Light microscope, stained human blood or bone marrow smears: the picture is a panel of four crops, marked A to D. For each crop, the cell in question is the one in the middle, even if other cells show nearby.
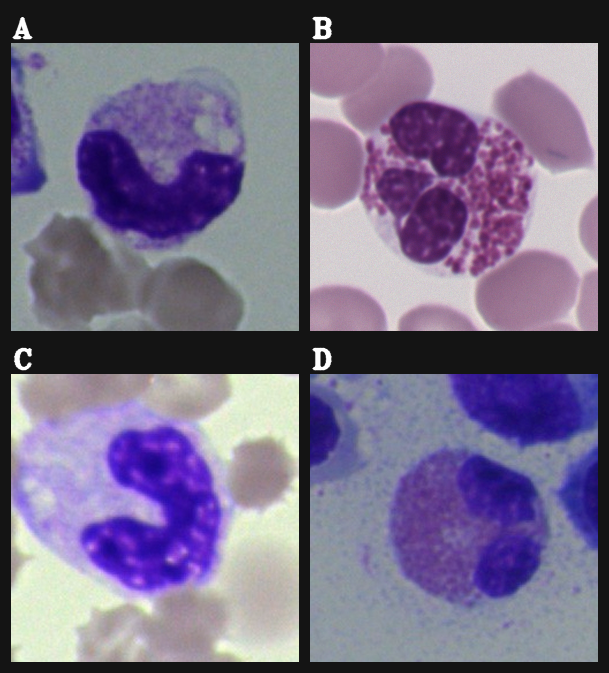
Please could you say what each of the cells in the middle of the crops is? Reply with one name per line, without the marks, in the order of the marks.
band neutrophil
eosinophil
band neutrophil
eosinophil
